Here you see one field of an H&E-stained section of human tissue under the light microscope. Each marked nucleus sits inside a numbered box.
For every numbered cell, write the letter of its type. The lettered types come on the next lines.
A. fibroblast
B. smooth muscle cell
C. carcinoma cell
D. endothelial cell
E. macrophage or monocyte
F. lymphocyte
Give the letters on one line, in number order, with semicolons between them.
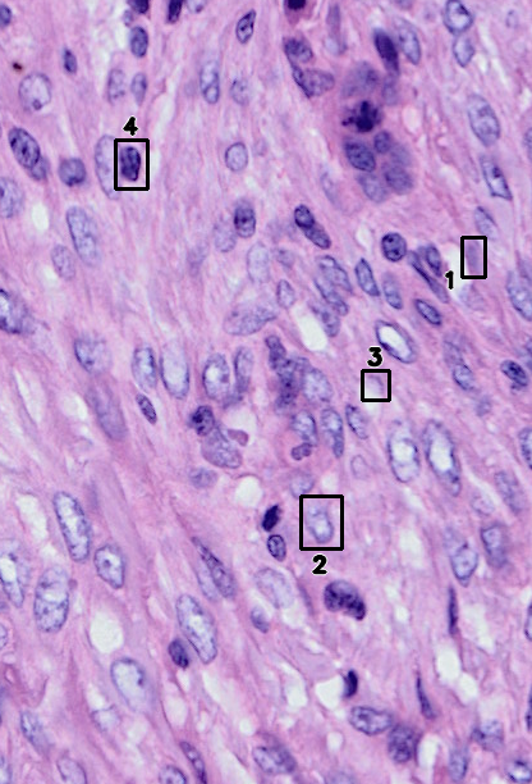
A; A; A; F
